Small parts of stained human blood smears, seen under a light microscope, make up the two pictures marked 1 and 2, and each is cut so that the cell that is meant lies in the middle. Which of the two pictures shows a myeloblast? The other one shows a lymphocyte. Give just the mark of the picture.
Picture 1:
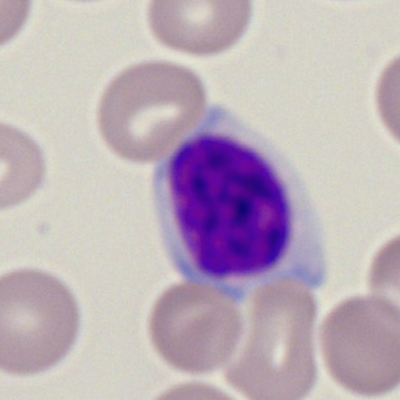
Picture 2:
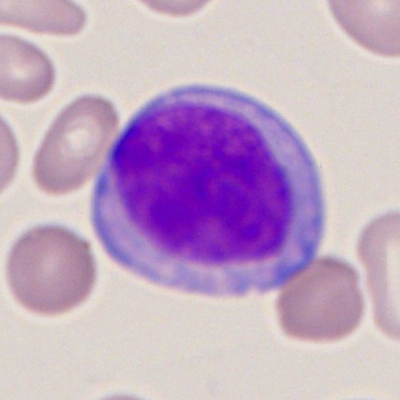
2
